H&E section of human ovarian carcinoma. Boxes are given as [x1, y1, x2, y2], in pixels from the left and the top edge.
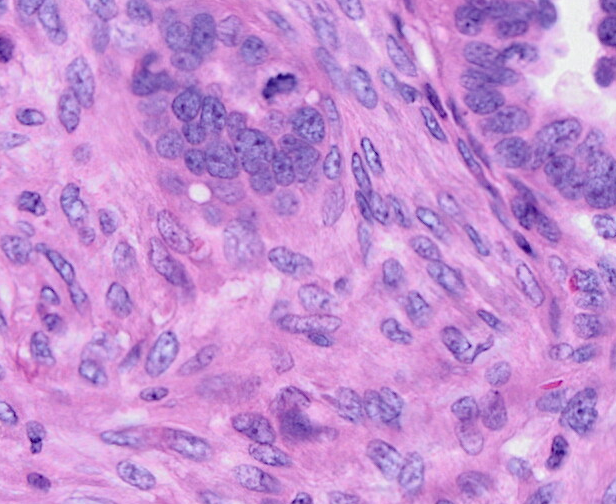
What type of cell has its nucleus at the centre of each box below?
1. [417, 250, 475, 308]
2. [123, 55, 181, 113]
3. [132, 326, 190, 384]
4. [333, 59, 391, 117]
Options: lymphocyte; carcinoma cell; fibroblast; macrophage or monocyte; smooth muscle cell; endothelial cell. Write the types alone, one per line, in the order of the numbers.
fibroblast
carcinoma cell
fibroblast
fibroblast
